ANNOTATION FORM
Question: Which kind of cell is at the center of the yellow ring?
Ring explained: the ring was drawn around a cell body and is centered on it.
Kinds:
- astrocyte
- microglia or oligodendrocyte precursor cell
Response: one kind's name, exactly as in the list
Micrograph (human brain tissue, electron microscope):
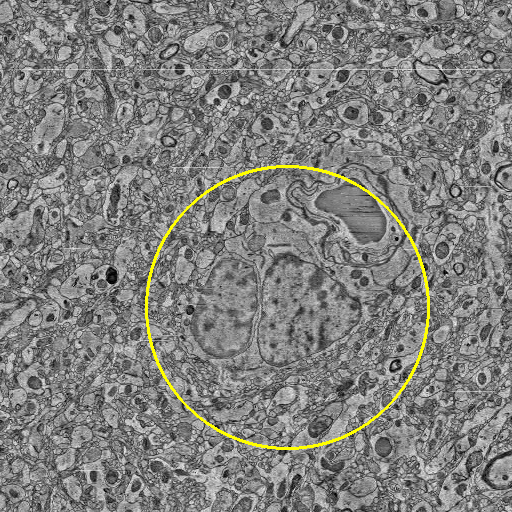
microglia or oligodendrocyte precursor cell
